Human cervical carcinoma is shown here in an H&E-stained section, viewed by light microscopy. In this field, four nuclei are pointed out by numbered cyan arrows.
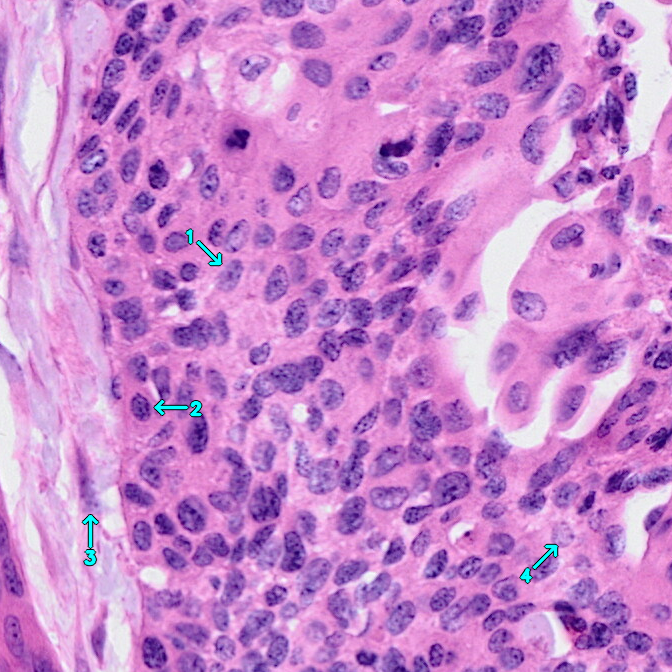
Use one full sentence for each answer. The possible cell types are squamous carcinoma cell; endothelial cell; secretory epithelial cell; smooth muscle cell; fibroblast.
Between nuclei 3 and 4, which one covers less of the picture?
With nucleus 3 about 2 times its size, nucleus 4 is the smaller of the two.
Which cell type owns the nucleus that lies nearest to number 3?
Closest to number 3 lies the nucleus of a squamous carcinoma cell.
